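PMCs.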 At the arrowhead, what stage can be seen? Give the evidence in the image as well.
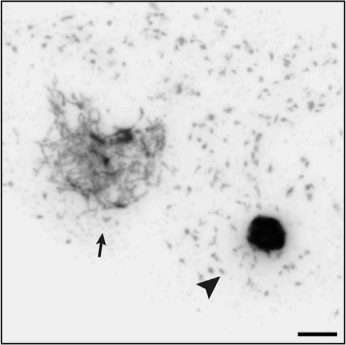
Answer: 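The arrowhead points to a cell whose chromatin forms a single small, dense, dark, rounded mass. No separate chromosome threads can be made out in that mass. The other cell in the field shows thin, loose, thread-like chromosomes.
Hence: hypercondensed.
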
